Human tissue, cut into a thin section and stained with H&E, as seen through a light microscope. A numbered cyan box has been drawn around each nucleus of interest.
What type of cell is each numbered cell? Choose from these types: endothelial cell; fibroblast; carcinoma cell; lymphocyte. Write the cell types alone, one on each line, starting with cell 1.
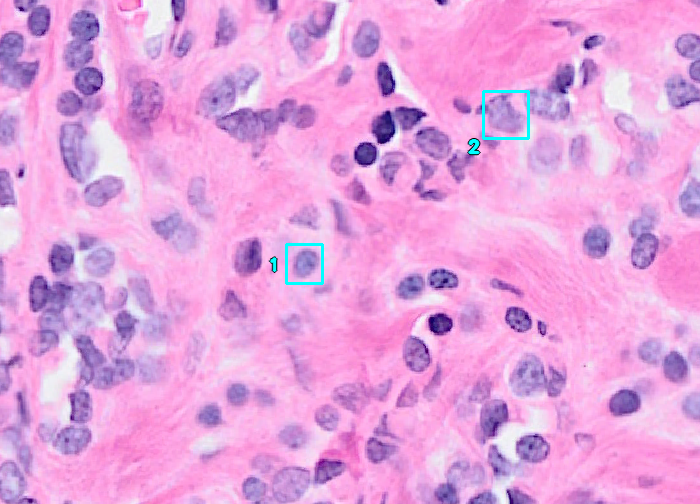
endothelial cell
carcinoma cell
